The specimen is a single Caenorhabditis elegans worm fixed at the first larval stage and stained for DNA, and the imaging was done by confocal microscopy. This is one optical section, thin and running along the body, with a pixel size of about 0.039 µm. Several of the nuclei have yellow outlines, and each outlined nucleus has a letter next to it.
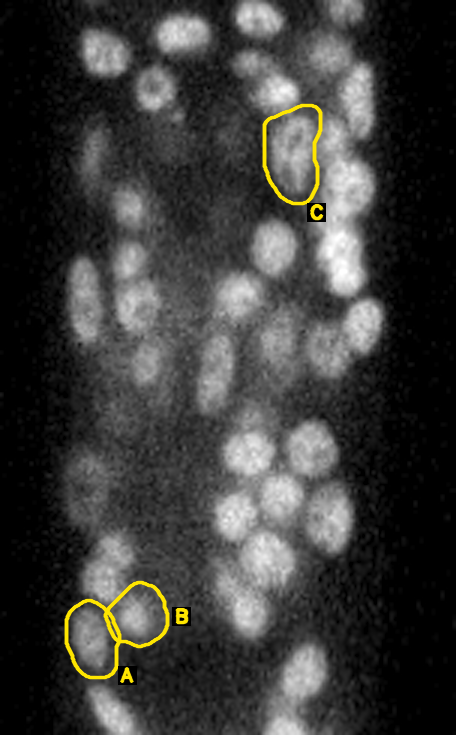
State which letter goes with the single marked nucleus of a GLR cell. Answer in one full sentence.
The nucleus of a GLR cell is B.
